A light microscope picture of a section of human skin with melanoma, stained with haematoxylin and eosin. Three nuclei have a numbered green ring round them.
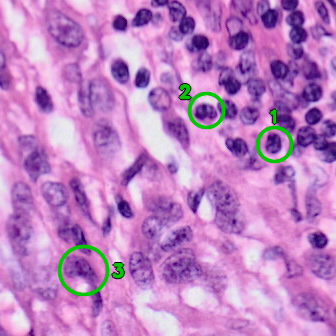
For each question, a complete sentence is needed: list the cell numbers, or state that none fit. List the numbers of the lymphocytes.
Regarding the numbered cells 1 and 2, these are lymphocytes.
